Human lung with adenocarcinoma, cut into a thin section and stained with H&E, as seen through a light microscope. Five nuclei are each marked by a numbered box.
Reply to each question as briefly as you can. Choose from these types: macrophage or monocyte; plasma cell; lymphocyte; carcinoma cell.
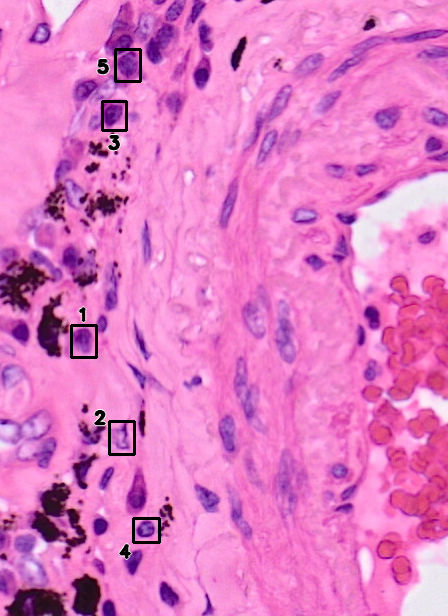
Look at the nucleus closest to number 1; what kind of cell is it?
lymphocyte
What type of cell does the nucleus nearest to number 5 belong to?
plasma cell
